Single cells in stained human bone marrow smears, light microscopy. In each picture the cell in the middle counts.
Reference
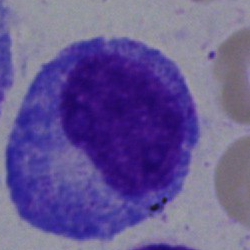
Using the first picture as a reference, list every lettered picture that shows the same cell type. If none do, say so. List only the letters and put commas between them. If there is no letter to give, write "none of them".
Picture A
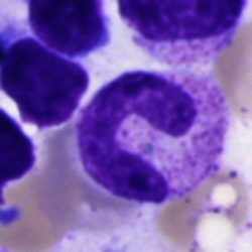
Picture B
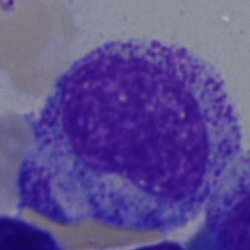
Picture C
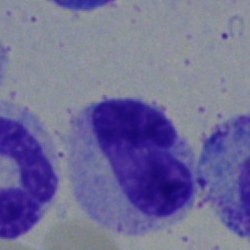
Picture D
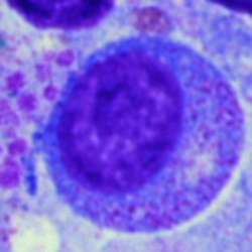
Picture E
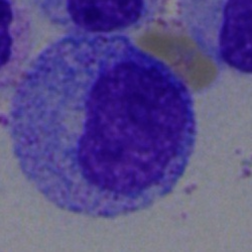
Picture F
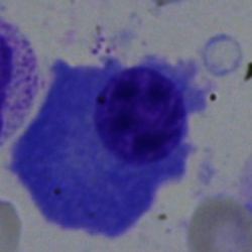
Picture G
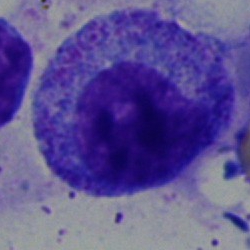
D, E, G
